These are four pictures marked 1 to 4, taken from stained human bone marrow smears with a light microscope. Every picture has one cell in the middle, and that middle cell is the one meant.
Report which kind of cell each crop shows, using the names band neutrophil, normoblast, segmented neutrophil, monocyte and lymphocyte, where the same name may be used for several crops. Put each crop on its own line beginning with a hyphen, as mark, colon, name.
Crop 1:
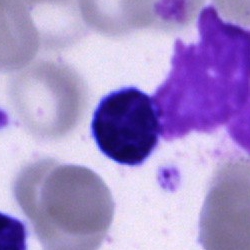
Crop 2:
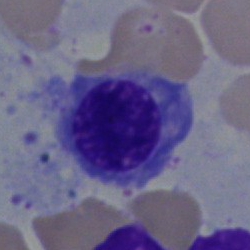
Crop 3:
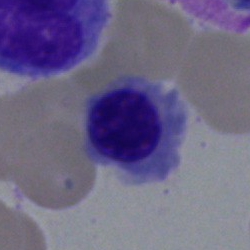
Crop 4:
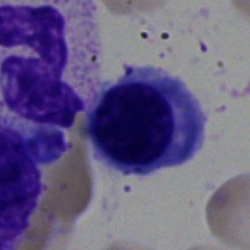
- 1: lymphocyte
- 2: normoblast
- 3: normoblast
- 4: normoblast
